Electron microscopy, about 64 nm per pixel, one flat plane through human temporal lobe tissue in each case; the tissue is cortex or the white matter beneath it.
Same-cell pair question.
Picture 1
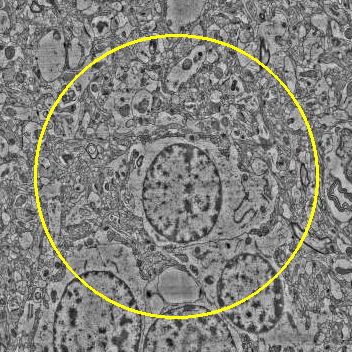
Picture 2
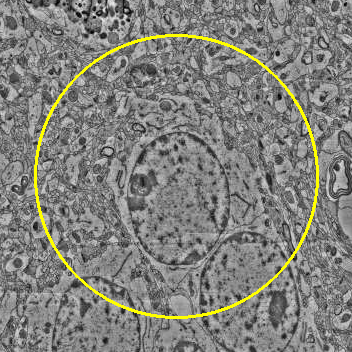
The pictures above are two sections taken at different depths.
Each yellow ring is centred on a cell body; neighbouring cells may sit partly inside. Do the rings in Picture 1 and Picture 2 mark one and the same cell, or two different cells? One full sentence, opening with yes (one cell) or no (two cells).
Yes, the two rings refer to one cell in the tissue.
